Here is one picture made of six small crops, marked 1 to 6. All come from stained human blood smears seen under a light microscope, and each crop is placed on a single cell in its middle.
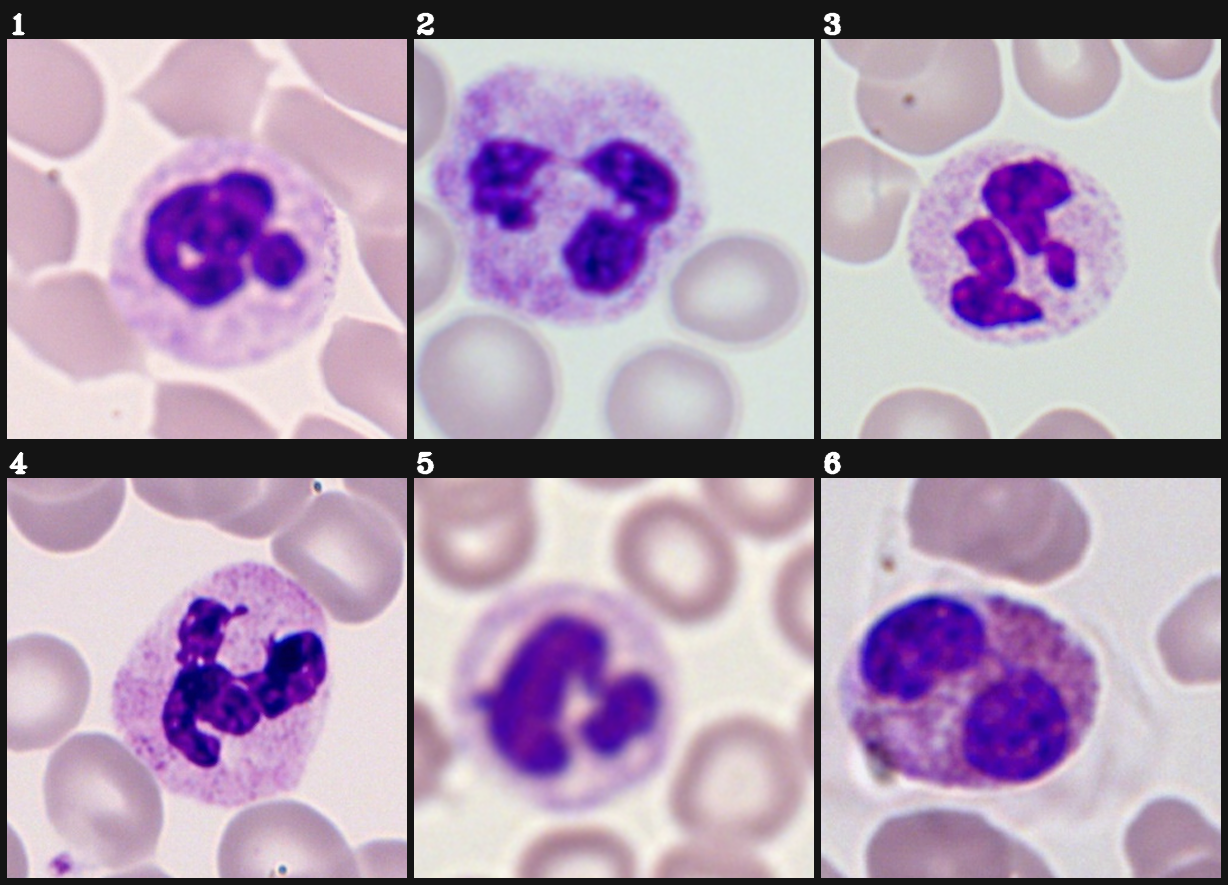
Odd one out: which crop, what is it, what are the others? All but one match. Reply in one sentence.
All the crops contain segmented neutrophils save crop 6, where there is an eosinophil.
